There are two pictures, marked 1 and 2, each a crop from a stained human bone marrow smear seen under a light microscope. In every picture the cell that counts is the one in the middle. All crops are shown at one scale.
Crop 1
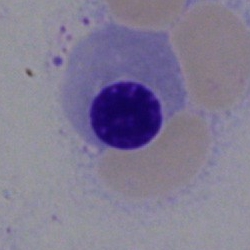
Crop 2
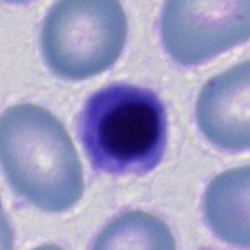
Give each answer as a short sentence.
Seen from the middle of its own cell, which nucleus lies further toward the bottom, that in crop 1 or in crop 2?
The nucleus in crop 1 lies further toward the bottom of its cell.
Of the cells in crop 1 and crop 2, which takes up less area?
Smaller is the cell in crop 2, and the other is about 2 times as large in area.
